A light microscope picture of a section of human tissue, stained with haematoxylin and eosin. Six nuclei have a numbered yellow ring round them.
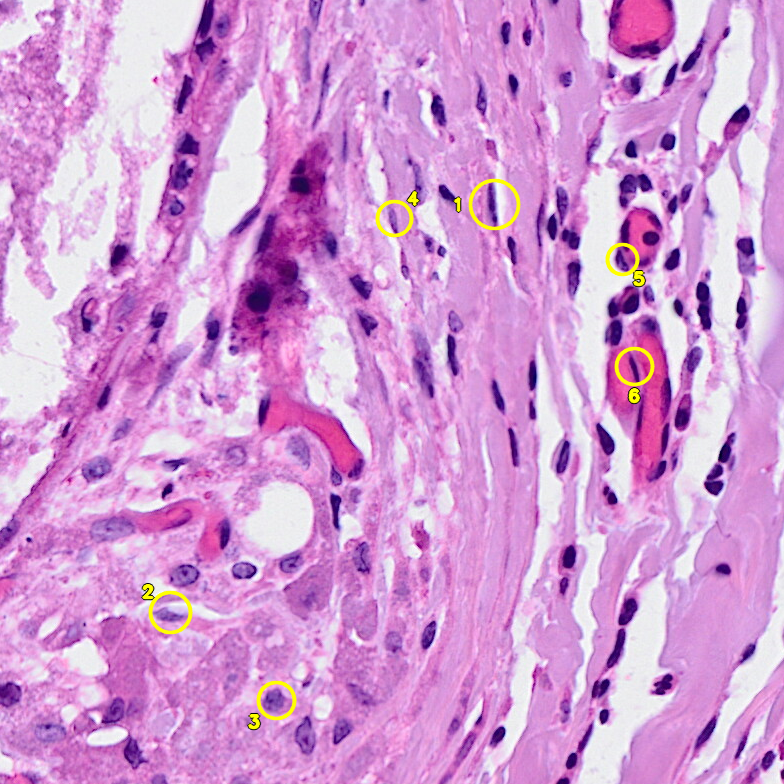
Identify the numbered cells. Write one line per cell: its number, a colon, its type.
1: fibroblast
2: fibroblast
3: macrophage, monocyte or dendritic cell
4: fibroblast
5: endothelial cell
6: endothelial cell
